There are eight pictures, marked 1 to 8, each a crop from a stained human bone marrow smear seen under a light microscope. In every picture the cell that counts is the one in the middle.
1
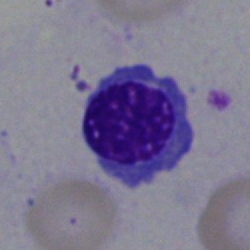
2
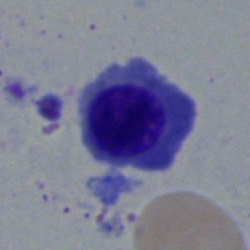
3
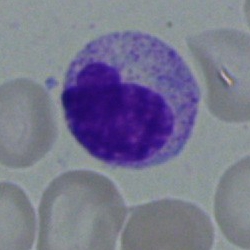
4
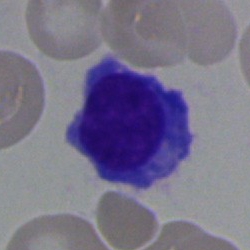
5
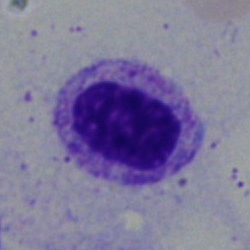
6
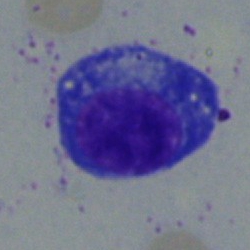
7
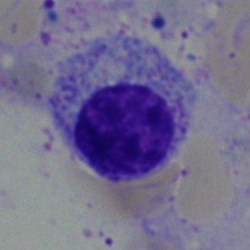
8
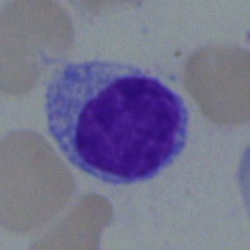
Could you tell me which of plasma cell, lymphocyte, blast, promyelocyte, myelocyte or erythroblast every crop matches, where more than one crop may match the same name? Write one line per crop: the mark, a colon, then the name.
1: erythroblast
2: erythroblast
3: myelocyte
4: plasma cell
5: myelocyte
6: plasma cell
7: myelocyte
8: lymphocyte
